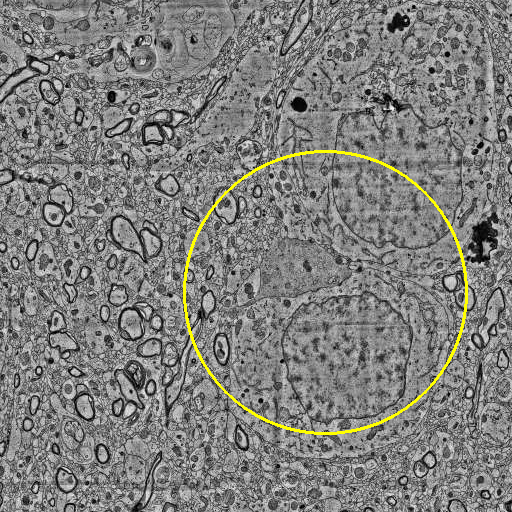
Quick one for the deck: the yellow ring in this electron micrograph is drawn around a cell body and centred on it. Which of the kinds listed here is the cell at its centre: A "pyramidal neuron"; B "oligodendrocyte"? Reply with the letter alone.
B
